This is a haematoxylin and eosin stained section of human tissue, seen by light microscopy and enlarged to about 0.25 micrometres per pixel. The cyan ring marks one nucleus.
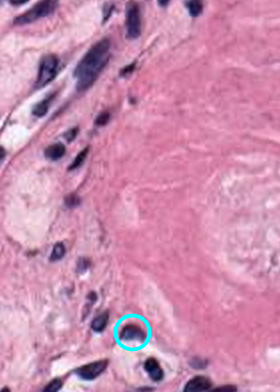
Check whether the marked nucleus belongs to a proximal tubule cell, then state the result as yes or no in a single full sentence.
No, the marked nucleus resides in a supporting cell, not in a proximal tubule cell.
